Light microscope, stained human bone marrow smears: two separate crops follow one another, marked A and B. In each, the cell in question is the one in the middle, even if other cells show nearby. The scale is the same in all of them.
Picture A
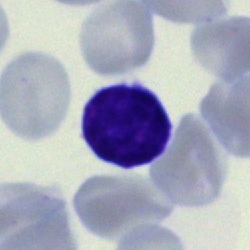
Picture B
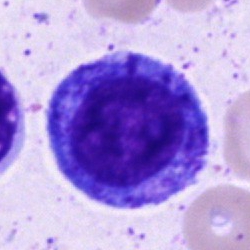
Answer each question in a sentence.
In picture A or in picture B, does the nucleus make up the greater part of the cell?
The nucleus fills more of the cell in picture A than in picture B.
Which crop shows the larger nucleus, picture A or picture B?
The nucleus in picture B is larger, with about 2 times the area of the one in picture A.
